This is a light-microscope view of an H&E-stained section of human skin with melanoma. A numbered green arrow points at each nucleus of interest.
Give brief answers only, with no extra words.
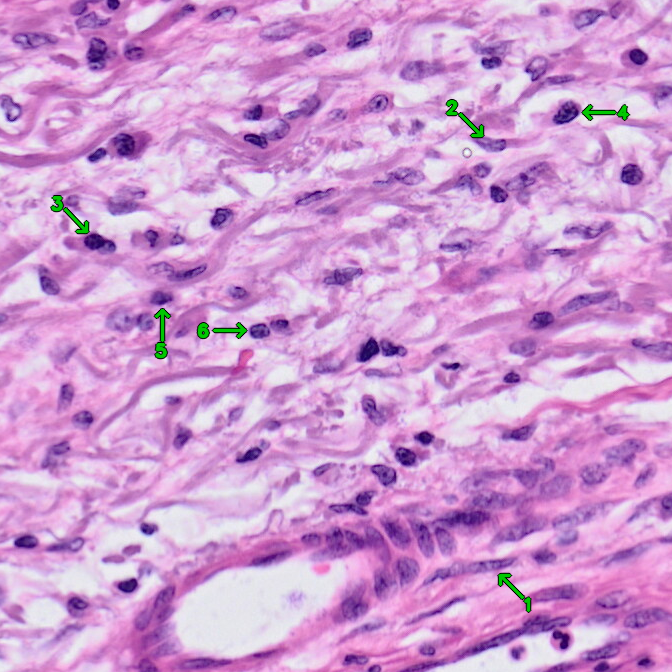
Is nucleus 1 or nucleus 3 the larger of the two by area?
1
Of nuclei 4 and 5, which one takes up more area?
4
